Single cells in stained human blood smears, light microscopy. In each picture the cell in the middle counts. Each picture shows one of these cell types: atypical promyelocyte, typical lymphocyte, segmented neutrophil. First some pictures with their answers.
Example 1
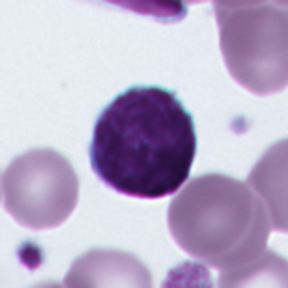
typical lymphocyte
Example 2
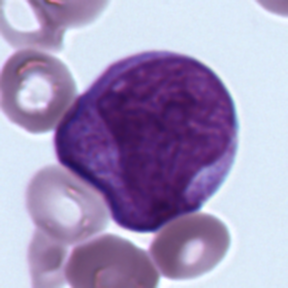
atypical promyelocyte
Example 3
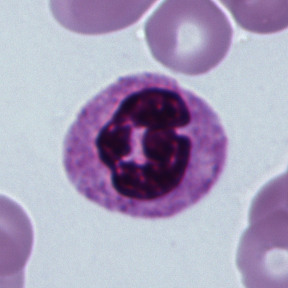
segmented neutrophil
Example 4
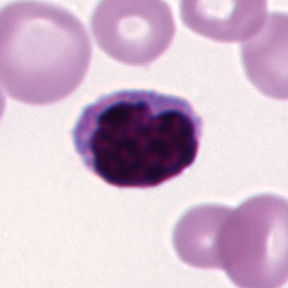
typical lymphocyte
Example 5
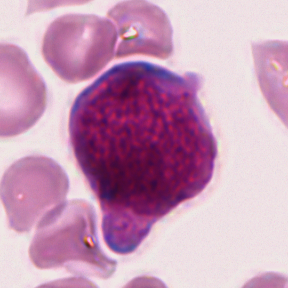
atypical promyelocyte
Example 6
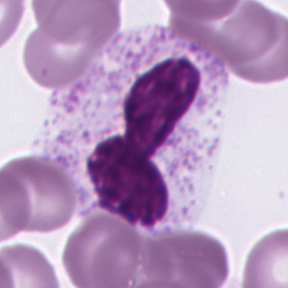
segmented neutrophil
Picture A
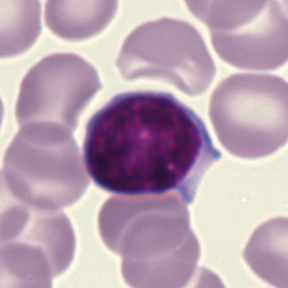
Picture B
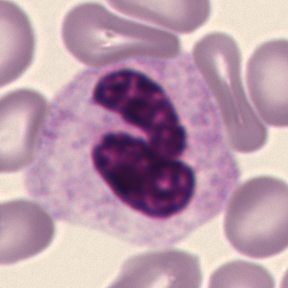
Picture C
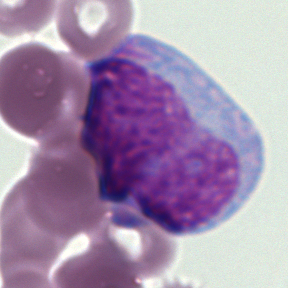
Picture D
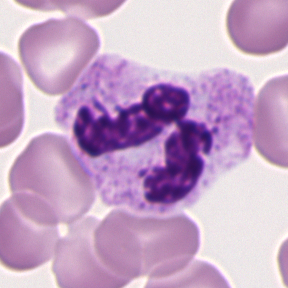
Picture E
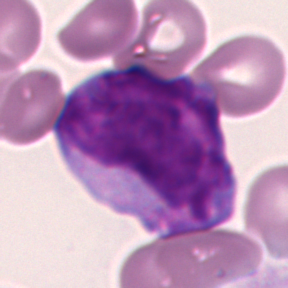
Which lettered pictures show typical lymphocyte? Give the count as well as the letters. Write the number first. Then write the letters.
1: A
